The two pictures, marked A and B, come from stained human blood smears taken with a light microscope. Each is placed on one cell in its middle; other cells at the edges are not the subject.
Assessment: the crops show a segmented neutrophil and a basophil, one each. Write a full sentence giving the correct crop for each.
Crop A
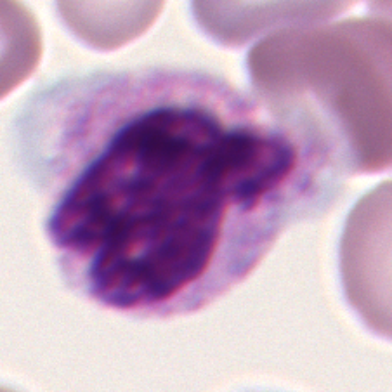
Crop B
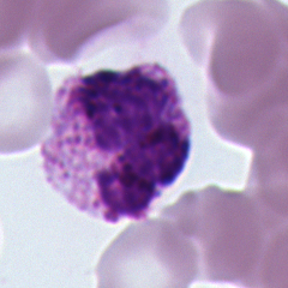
Crop A shows a segmented neutrophil, whereas crop B shows a basophil.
